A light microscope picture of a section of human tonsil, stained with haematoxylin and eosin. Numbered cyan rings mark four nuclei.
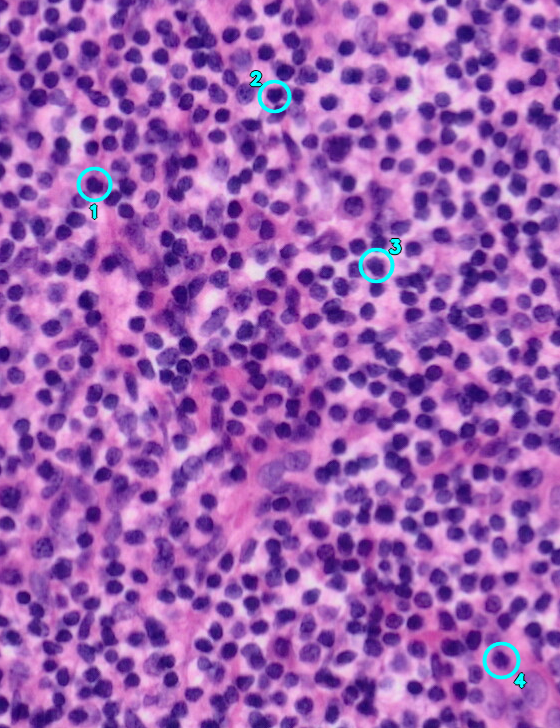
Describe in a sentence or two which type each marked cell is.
Cells 1, 2 and 3 are small lymphocytes. Cell 4 is an endothelial cell.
